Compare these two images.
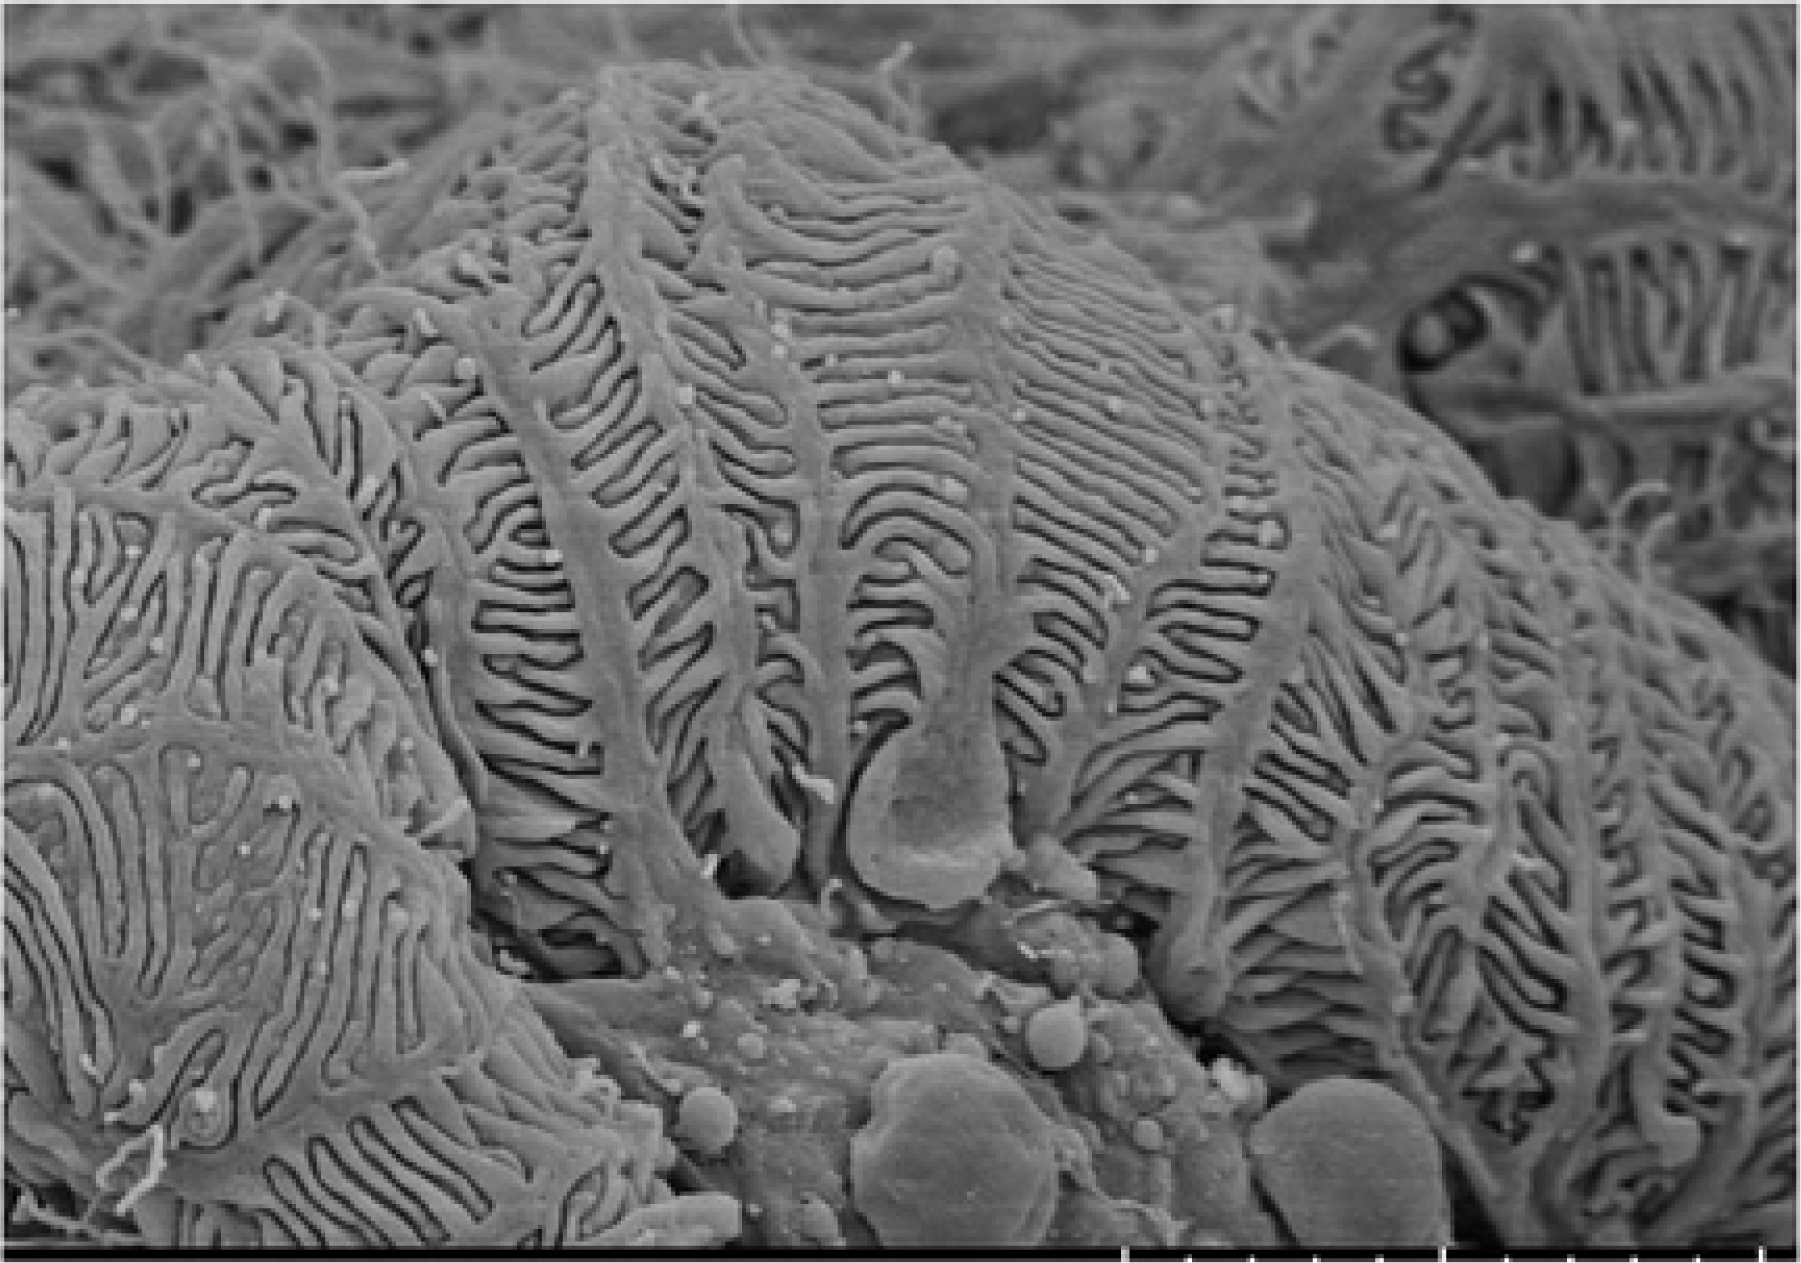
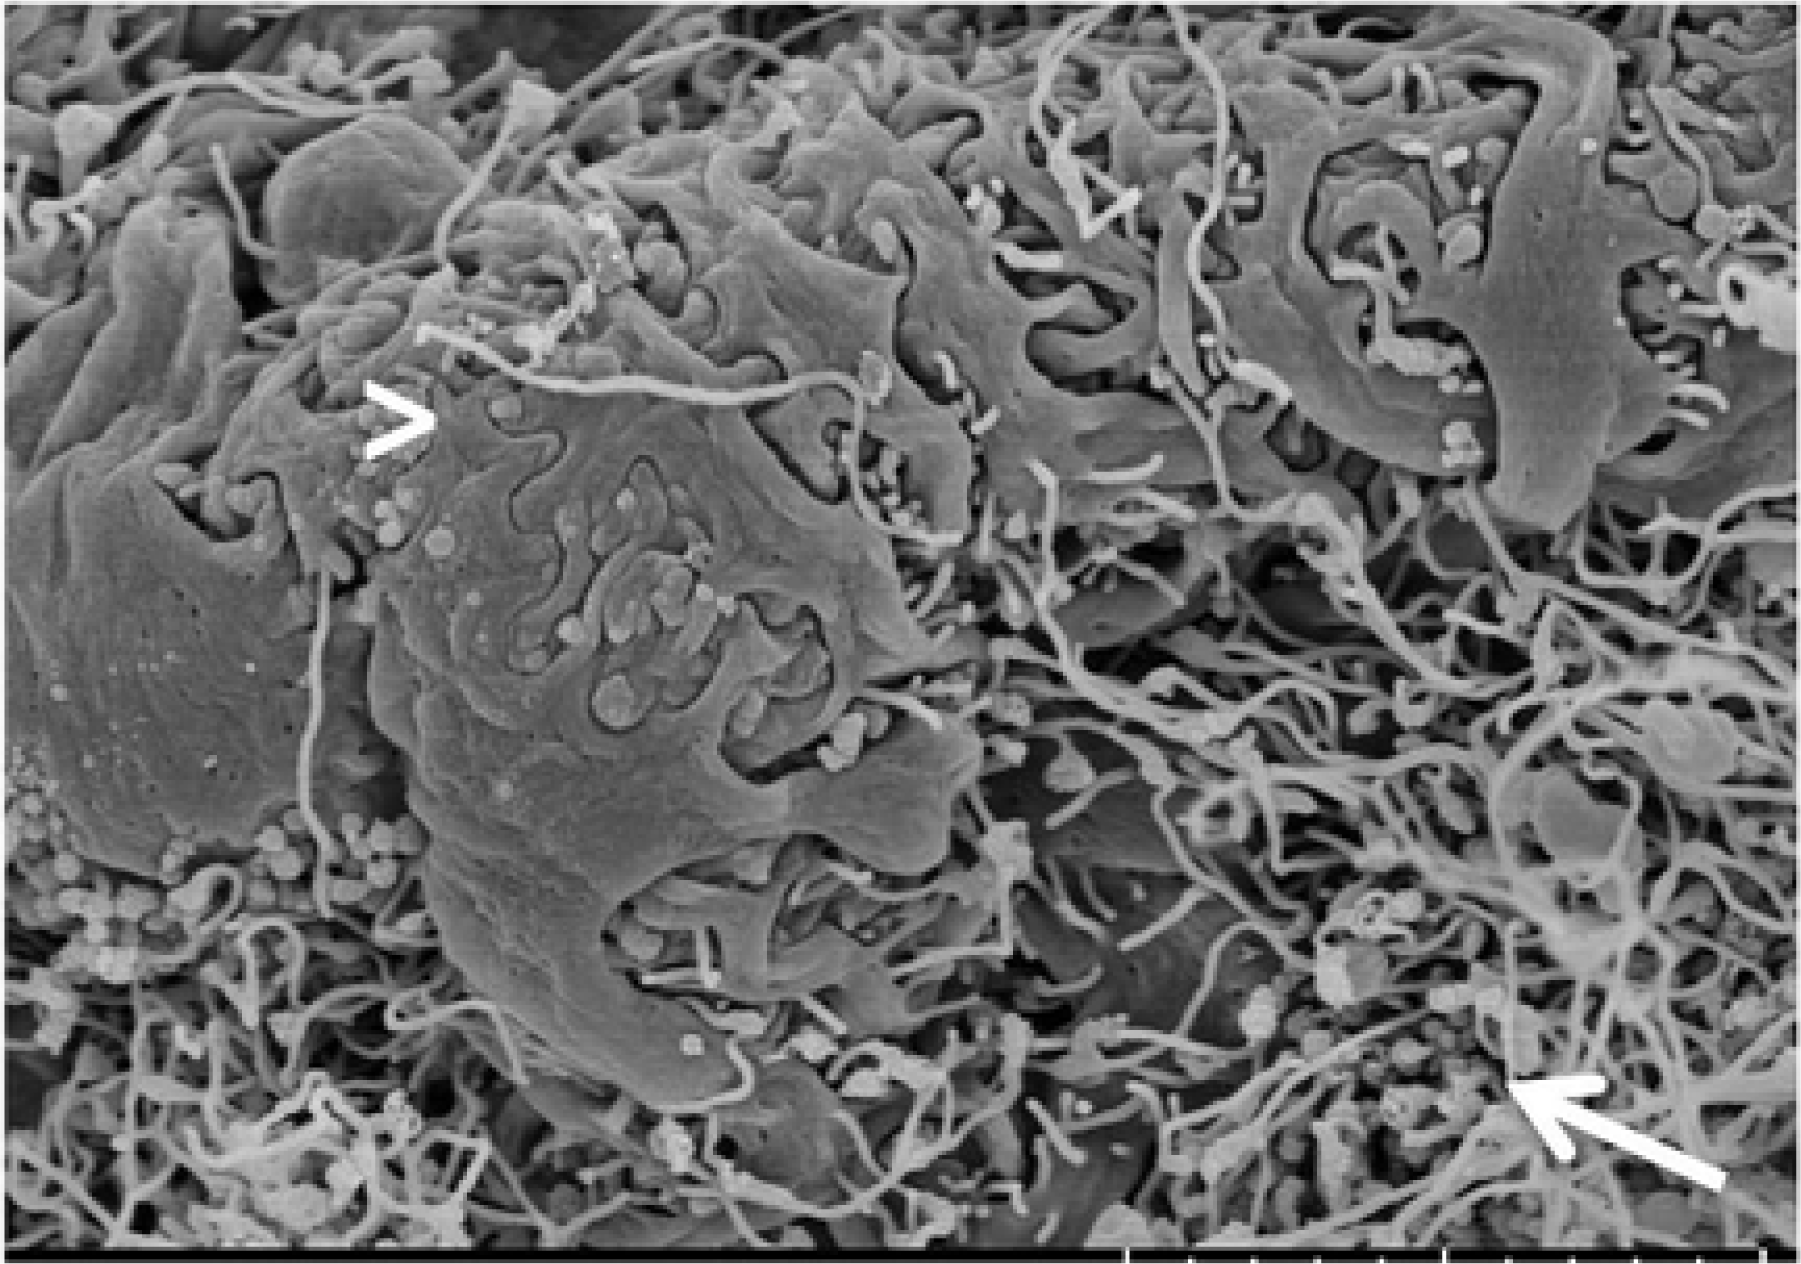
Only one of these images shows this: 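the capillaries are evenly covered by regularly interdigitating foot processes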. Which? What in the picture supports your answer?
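Second image: cell surfaces form broad irregular flat sheets with few fine processes, among tangled strands. First image: capillary loops are covered by regular parallel interdigitating fine processes separated by thin slits.
Answer: the first image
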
